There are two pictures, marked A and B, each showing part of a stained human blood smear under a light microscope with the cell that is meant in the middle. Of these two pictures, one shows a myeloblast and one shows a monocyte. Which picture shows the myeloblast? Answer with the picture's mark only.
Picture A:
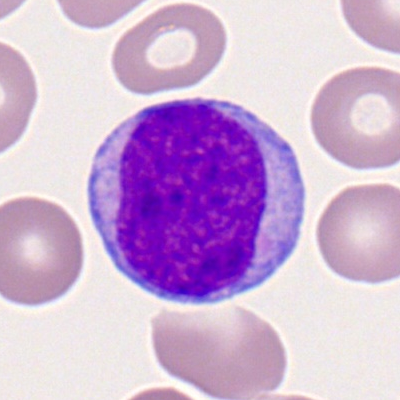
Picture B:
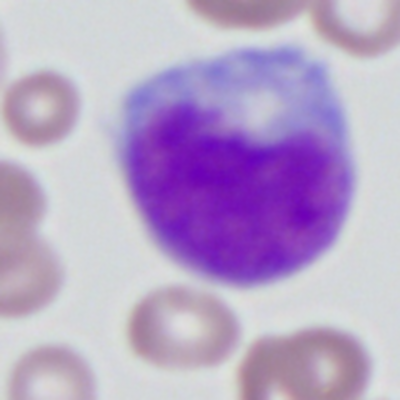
A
